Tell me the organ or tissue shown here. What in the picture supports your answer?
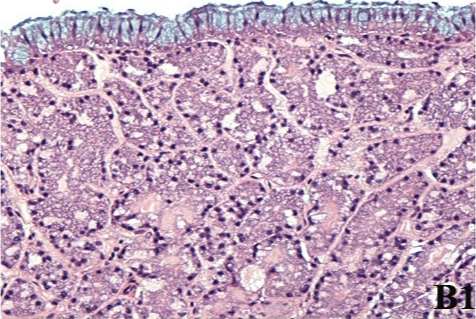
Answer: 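Oviduct magnum. A columnar surface epithelium lines one edge. Beneath it the mucosa is packed with tubular glands with granular cytoplasm.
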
